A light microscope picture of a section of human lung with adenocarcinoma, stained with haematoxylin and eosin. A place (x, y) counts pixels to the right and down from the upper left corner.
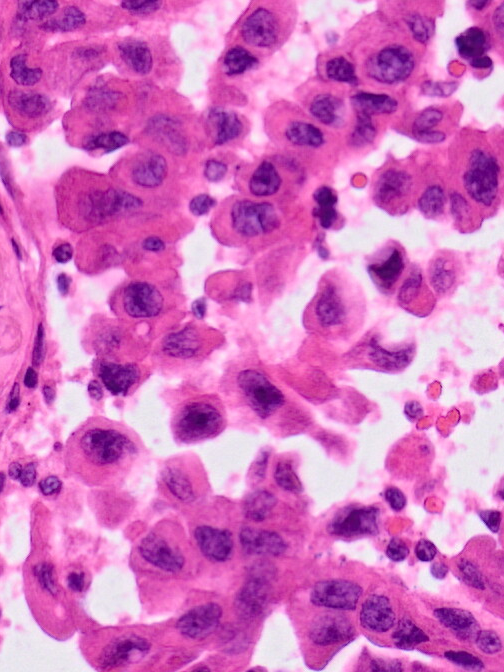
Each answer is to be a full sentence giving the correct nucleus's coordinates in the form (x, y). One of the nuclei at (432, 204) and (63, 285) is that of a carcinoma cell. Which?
Rather than the other nucleus, the one at (432, 204) belongs to a carcinoma cell.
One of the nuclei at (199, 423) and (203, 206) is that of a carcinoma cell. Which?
The nucleus found at (199, 423) belongs to a carcinoma cell.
